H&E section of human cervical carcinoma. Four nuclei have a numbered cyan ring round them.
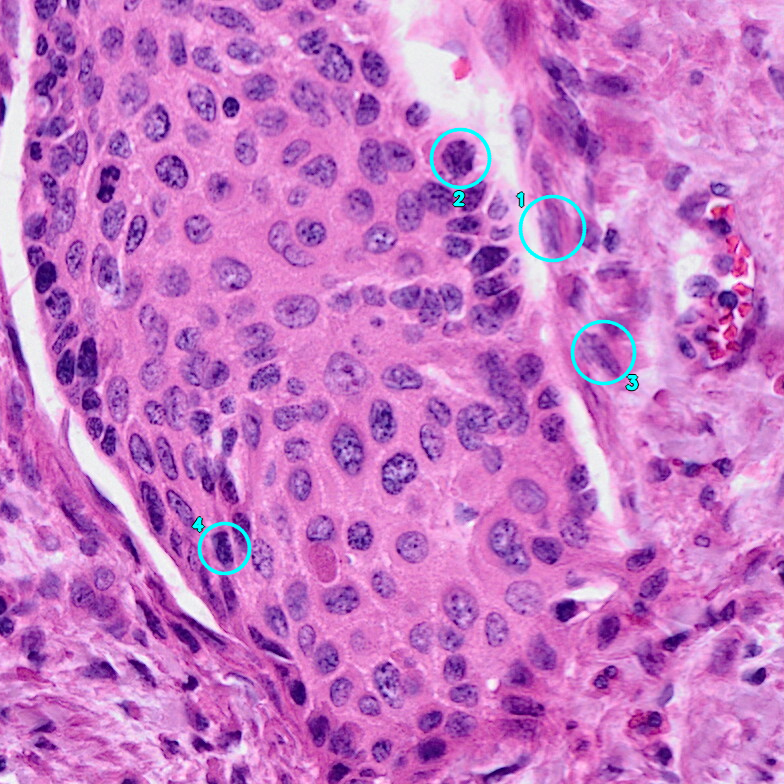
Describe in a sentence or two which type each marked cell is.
Cells 1 and 3 are fibroblasts. Cells 2 and 4 are squamous carcinoma cells.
